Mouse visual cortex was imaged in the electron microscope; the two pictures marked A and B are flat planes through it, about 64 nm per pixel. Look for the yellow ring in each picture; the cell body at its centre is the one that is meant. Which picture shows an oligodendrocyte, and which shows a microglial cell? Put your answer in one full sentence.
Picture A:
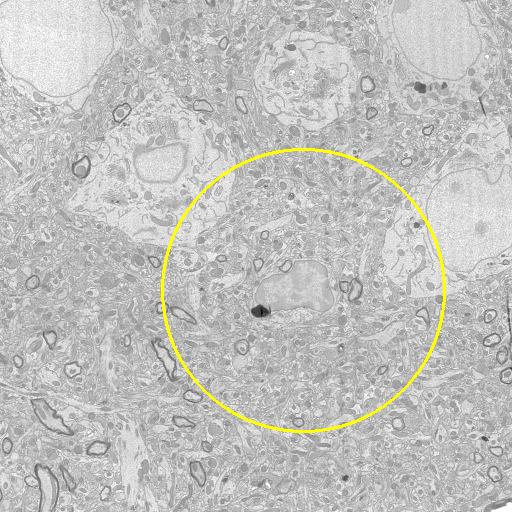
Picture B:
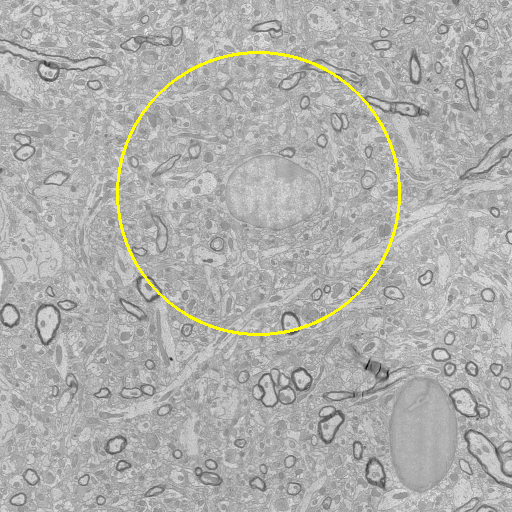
It is picture A that shows a microglial cell, and picture B that shows an oligodendrocyte.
